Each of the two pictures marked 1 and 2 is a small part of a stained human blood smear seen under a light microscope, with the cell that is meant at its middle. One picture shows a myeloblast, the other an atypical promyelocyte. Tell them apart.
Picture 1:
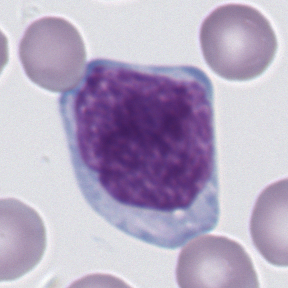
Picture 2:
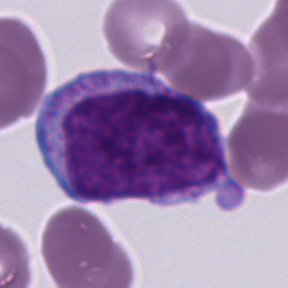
1: myeloblast
2: atypical promyelocyte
